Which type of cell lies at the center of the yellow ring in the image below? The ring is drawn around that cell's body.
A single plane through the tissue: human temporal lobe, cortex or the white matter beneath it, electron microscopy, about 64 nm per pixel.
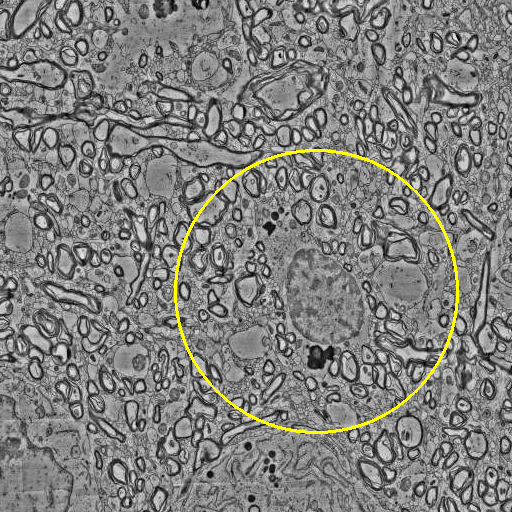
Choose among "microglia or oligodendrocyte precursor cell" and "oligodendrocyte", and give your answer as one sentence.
The cell body at the center belongs to an oligodendrocyte.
